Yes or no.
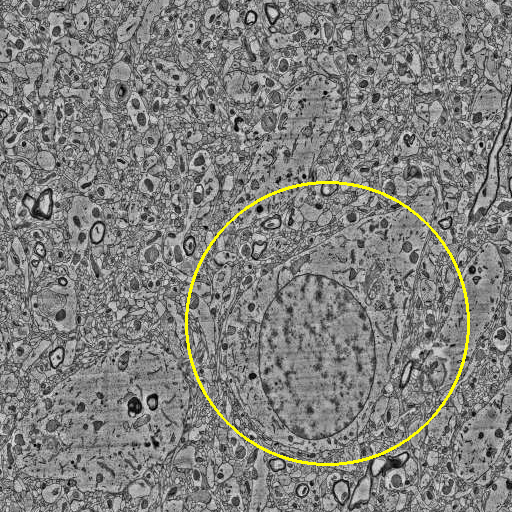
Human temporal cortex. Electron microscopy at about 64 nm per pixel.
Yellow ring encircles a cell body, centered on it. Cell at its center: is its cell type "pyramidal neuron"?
yes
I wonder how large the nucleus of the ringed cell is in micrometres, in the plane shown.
The nucleus works out at approximately 11 by 8 micrometres in this plane.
